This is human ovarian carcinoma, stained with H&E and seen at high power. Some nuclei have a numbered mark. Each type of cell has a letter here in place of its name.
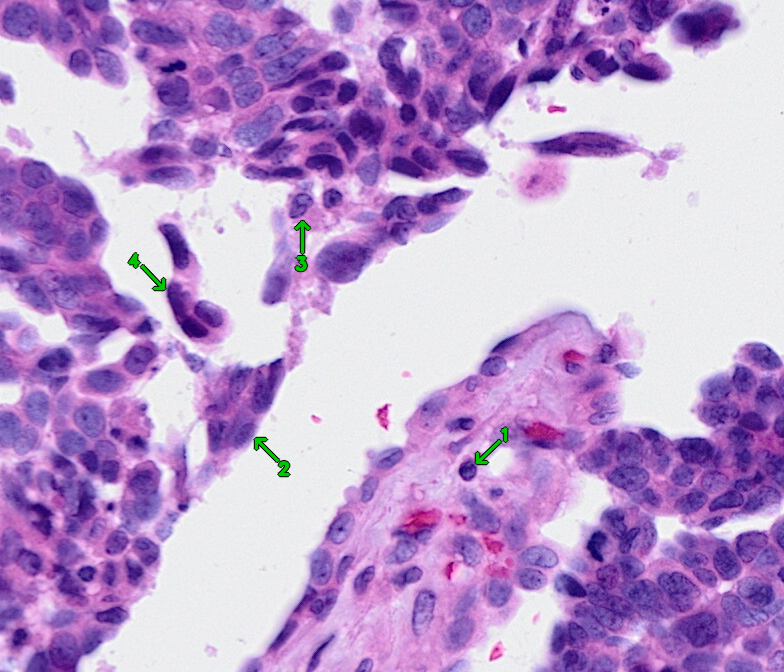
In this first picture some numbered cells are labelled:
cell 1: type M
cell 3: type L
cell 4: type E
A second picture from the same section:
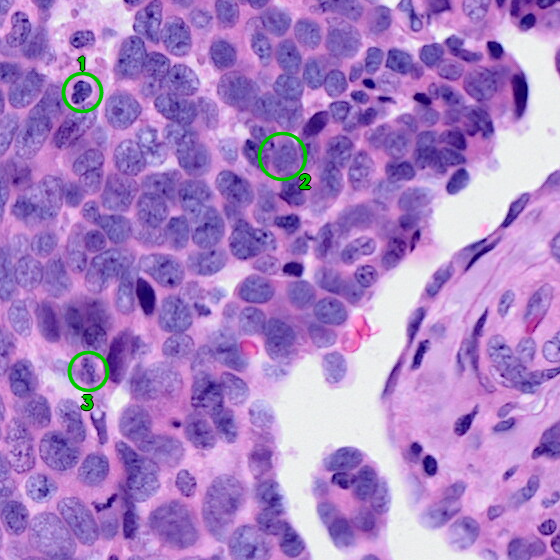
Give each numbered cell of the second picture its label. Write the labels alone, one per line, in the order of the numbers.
type M
type E
type L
